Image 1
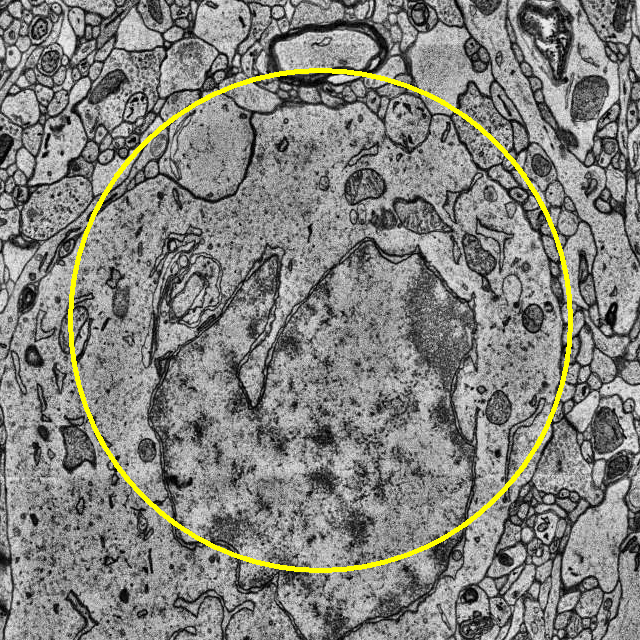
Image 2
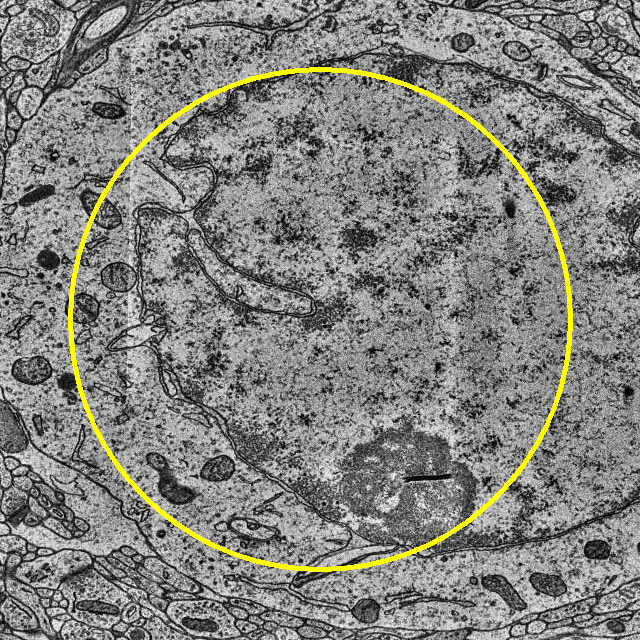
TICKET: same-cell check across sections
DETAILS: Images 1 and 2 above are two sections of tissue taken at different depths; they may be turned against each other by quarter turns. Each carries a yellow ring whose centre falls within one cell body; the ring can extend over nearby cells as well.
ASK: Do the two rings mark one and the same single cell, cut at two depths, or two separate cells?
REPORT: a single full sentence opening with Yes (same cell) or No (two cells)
Yes, both rings identify a single, shared cell.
